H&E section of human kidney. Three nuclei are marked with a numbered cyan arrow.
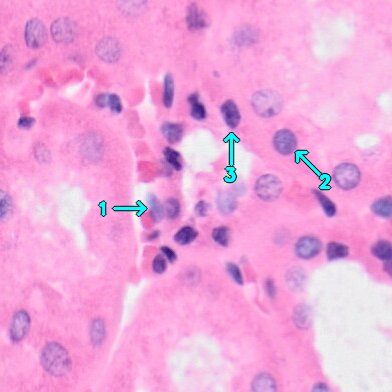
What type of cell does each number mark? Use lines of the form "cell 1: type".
cell 1: endothelial cell
cell 2: proximal tubule cell
cell 3: loop of Henle or distal tubule cell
